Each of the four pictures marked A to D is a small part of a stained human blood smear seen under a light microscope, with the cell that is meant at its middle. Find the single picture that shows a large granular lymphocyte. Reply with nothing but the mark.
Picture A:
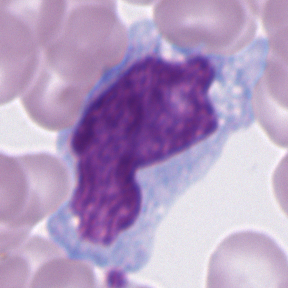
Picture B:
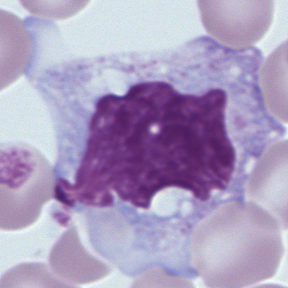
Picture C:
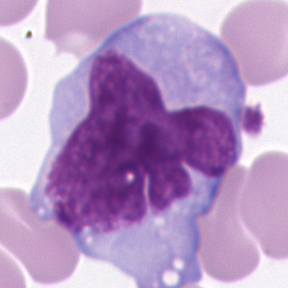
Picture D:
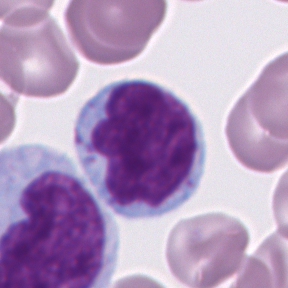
D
